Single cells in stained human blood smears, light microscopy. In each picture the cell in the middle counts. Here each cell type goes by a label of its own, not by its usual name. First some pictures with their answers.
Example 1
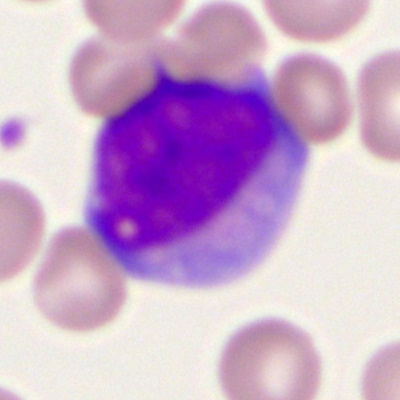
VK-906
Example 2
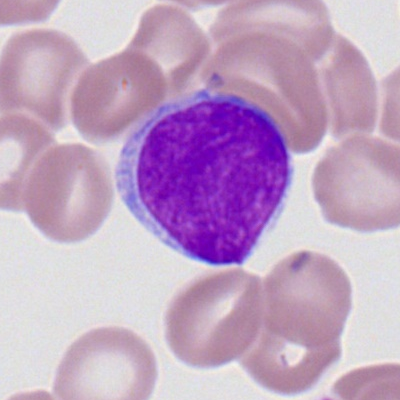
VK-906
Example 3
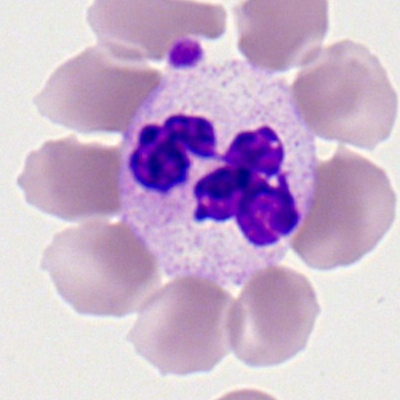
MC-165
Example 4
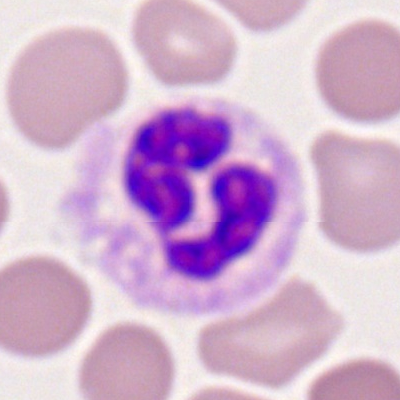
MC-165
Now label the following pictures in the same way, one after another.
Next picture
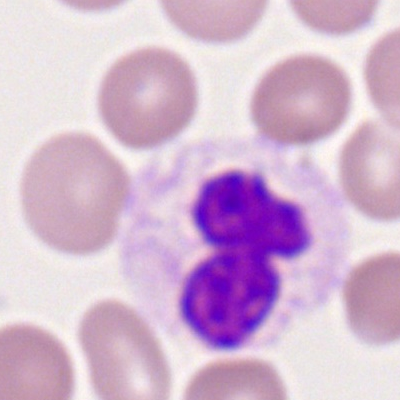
MC-165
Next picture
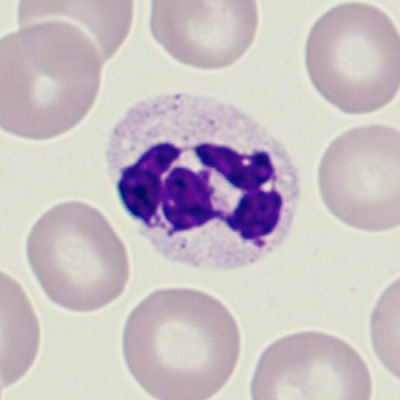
MC-165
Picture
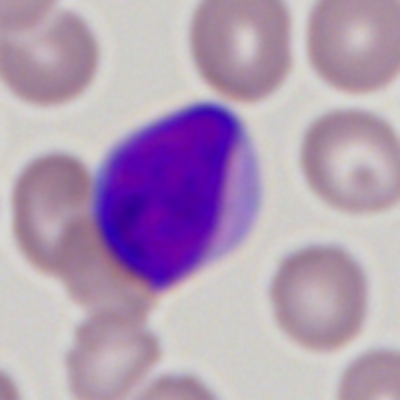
VK-906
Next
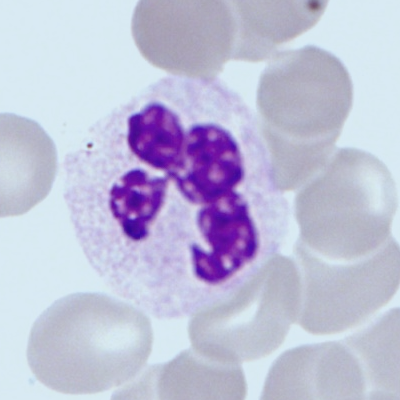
MC-165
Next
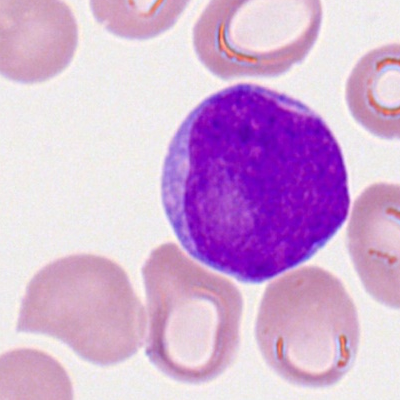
VK-906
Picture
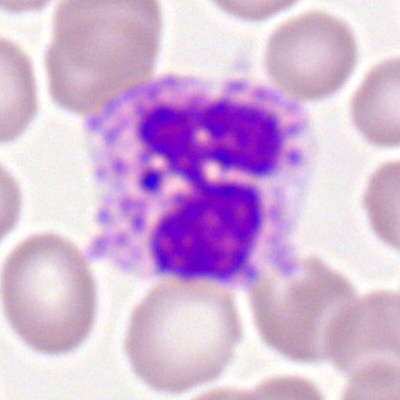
MC-165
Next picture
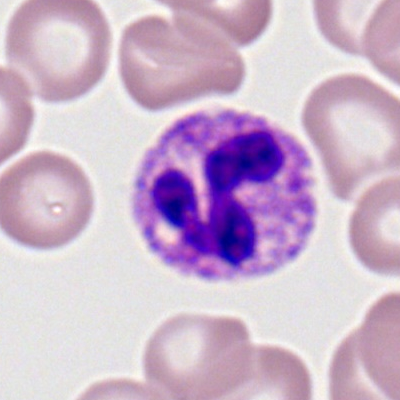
MC-165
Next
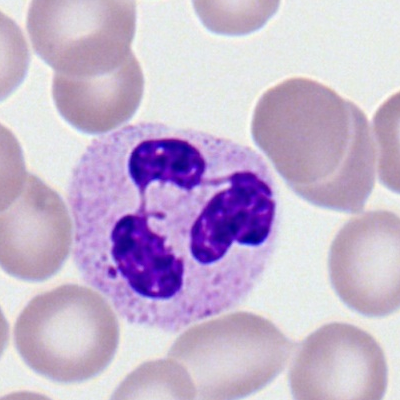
MC-165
